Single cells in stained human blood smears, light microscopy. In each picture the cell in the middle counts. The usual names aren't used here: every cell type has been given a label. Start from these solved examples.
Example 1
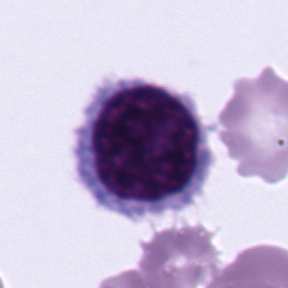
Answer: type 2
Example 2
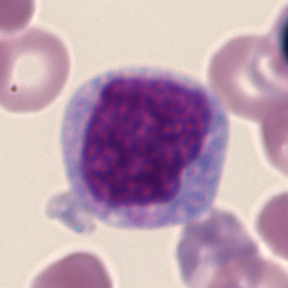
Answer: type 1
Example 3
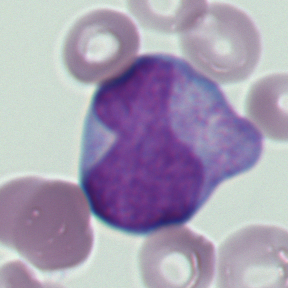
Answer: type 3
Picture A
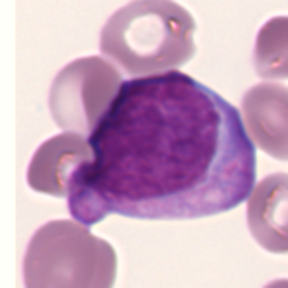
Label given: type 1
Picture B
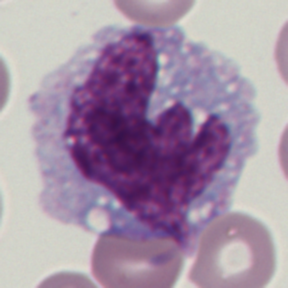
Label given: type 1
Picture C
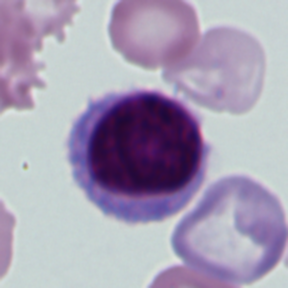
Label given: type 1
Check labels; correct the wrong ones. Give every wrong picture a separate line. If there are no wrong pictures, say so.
A: type 3, not type 1
C: type 2, not type 1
